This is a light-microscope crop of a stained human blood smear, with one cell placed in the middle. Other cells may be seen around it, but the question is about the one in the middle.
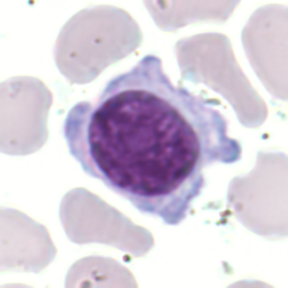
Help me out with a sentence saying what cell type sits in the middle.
In the crop, the cell of interest at the centre is a plasma cell.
